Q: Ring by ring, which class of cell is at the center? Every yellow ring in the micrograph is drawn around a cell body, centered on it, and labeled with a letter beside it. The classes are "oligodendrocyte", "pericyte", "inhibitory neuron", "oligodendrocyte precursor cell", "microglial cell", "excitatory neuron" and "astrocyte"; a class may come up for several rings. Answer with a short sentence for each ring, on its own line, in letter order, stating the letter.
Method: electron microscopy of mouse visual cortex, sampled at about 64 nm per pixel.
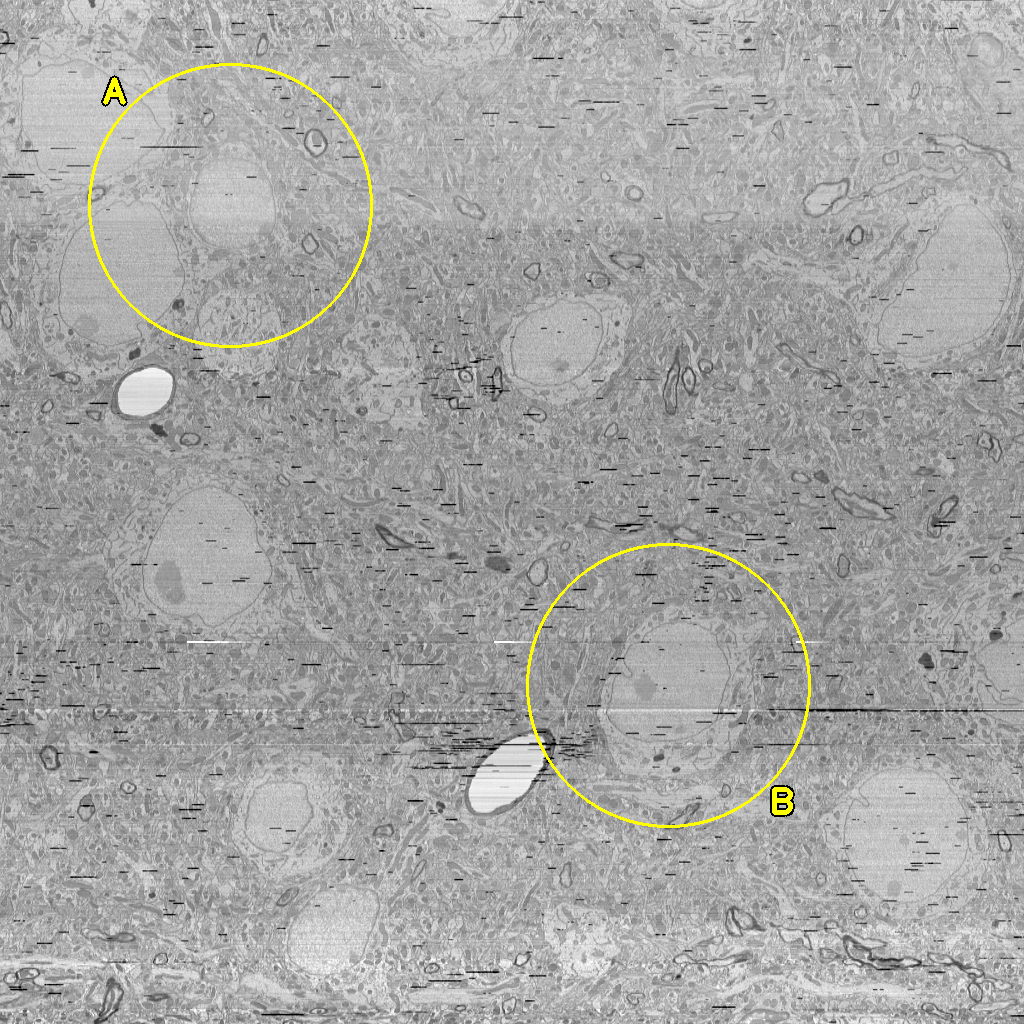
Ring A holds an astrocyte at its center.
Ring B holds an excitatory neuron at its center.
